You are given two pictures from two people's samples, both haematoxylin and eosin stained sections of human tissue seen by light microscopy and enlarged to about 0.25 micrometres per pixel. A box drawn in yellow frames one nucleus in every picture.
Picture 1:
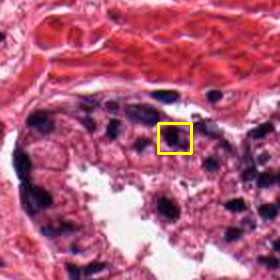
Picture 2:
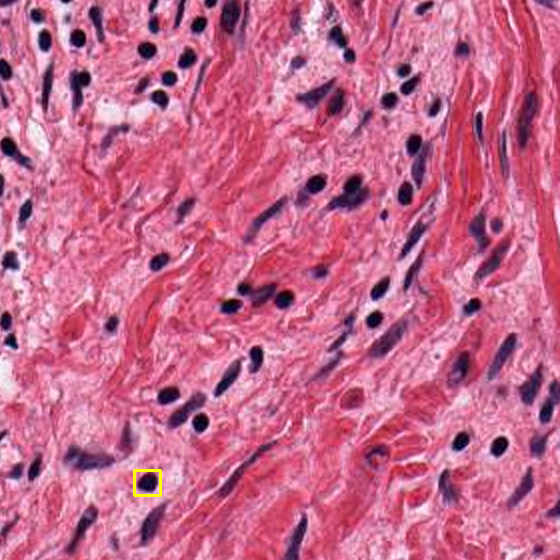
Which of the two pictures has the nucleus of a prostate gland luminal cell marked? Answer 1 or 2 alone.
1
